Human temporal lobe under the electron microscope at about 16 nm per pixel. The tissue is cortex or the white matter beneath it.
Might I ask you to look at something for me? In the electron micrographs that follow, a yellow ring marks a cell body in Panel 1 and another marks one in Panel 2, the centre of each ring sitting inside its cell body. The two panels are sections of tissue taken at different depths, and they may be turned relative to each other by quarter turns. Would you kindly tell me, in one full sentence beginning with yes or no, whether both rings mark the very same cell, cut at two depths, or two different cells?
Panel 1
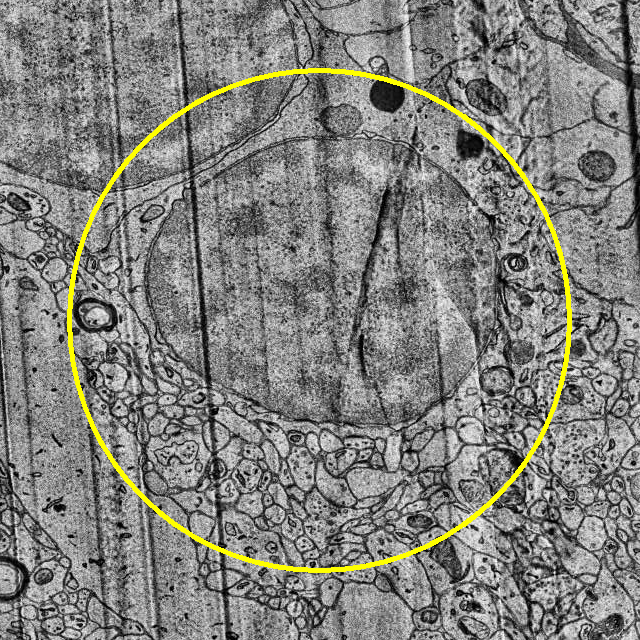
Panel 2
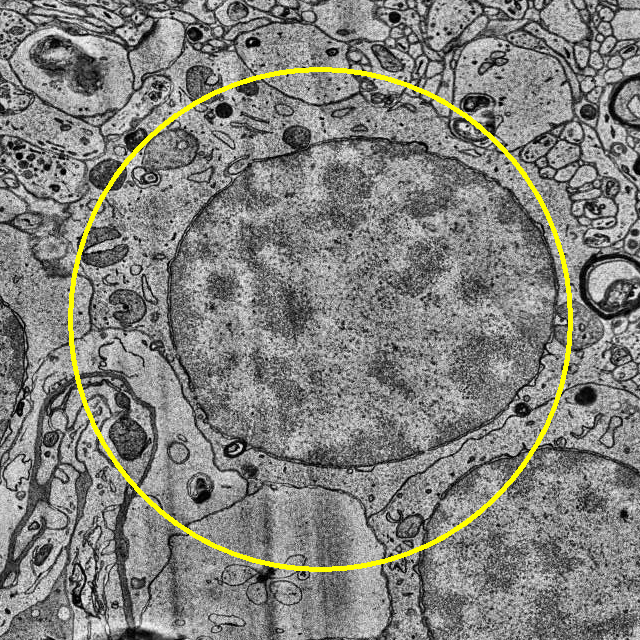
Yes, the second ring marks the same cell as the first.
